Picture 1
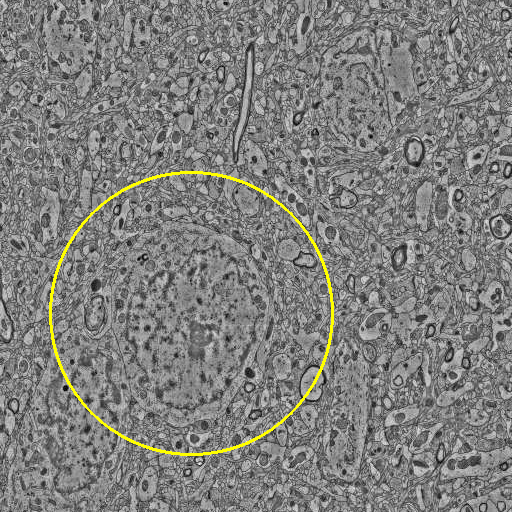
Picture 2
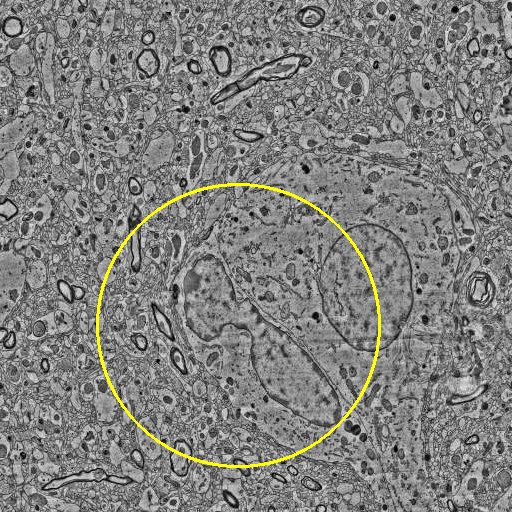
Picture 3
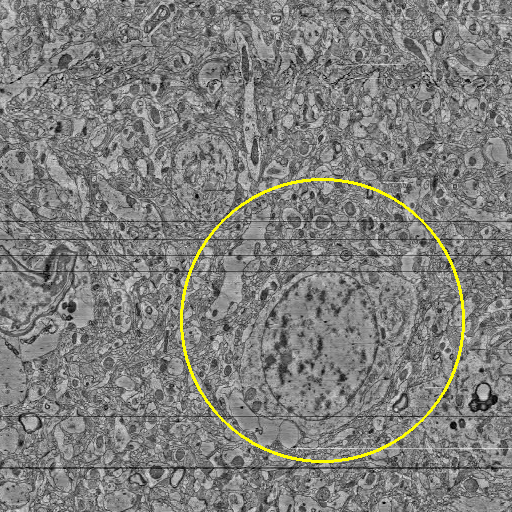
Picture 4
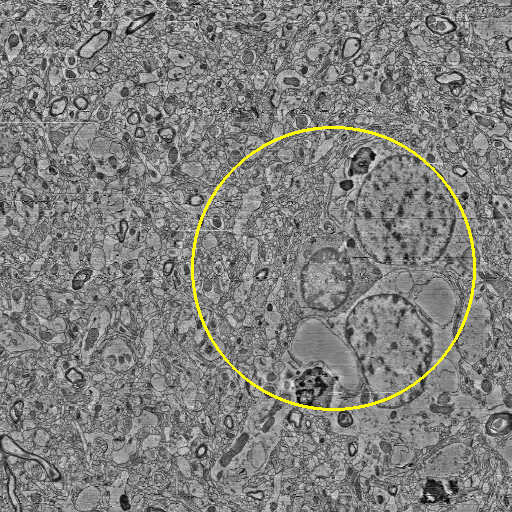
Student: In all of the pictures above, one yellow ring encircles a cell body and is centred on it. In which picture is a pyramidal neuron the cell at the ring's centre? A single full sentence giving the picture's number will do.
Picture number 3 has the wanted cell right at the centre of its ring.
